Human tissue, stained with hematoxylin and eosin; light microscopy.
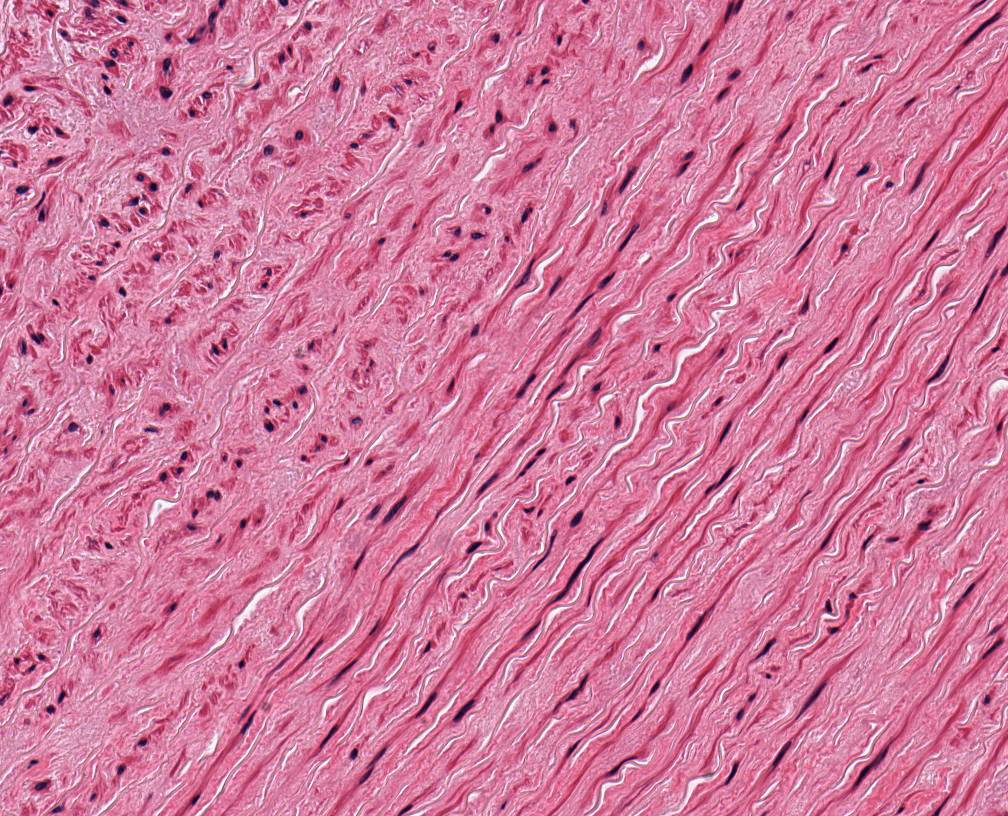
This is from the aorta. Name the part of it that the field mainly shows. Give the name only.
tunica media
